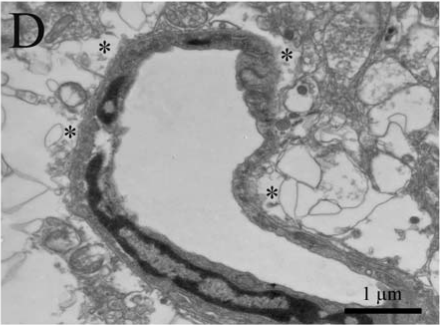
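This is a brain capillary cut across, seen by electron microscopy, with an endothelial cell whose long, dark nucleus runs along the lower wall. The vessel outline is misshapen: the wall folds inward on one side, so the lumen is irregular instead of round. Around the wall lie pale, swollen spaces bounded by thin membranes and holding little content; these are enlarged astrocyte endfeet. The surrounding neural tissue also looks loose, with empty-looking spaces between profiles, unlike the compact neuropil around a healthy capillary.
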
